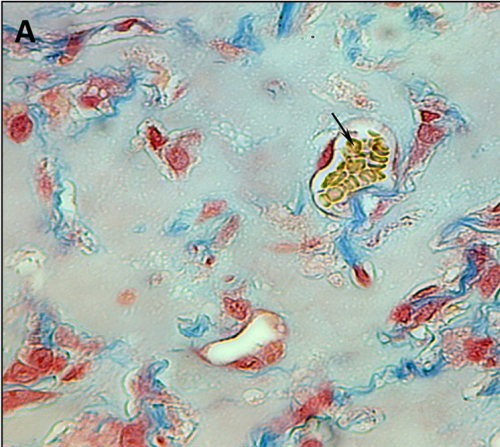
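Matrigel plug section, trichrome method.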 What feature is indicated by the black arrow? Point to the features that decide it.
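Erythrocyte-contained vessels. The arrow points to a single oval lumen filled with small round yellow-green cells. The lumen is bordered by a thin wall.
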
